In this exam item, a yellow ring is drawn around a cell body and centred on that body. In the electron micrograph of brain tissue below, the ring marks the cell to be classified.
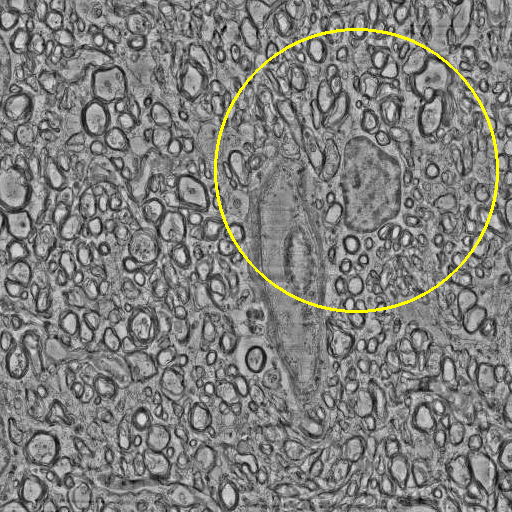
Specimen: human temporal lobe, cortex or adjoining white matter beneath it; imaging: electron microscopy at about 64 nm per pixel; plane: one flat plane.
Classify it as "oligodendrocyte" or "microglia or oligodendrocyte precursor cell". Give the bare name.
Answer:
microglia or oligodendrocyte precursor cell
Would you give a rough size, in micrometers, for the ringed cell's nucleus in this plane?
The ringed cell's nucleus measures approximately 6 by 4 micrometres in this plane.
